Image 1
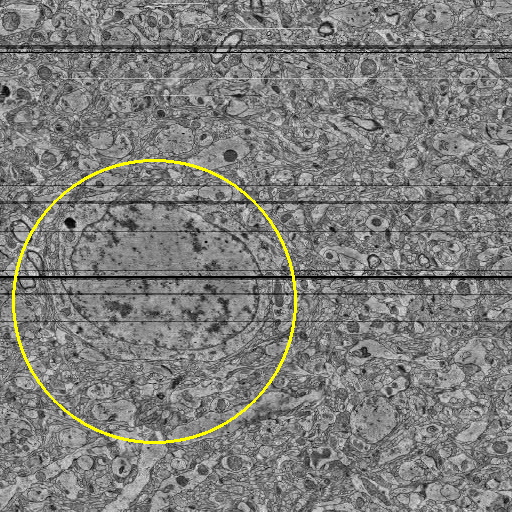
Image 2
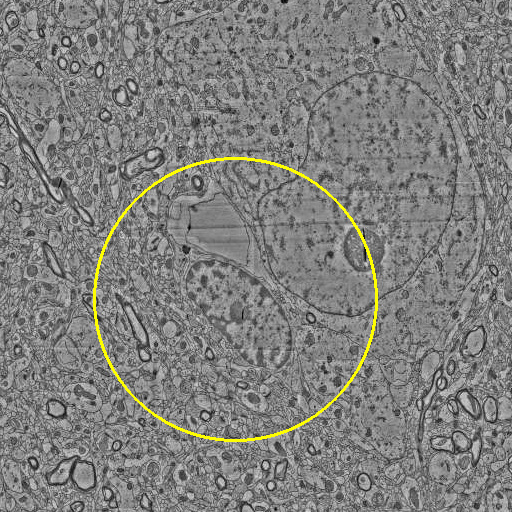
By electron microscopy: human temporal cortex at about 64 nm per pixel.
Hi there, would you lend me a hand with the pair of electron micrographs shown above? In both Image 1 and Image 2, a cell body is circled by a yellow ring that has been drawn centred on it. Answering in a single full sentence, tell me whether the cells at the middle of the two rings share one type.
No, the ringed cells in Image 1 and Image 2 belong to two types.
